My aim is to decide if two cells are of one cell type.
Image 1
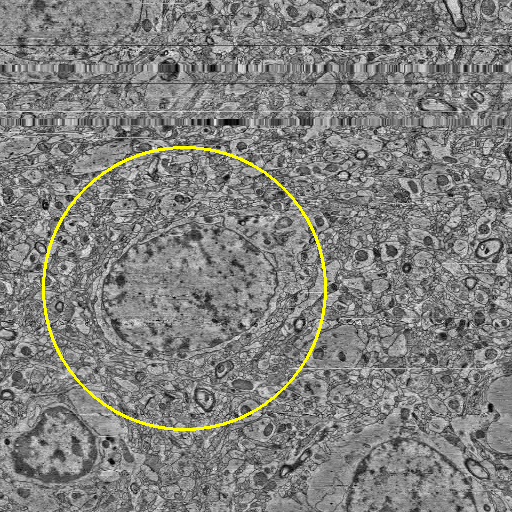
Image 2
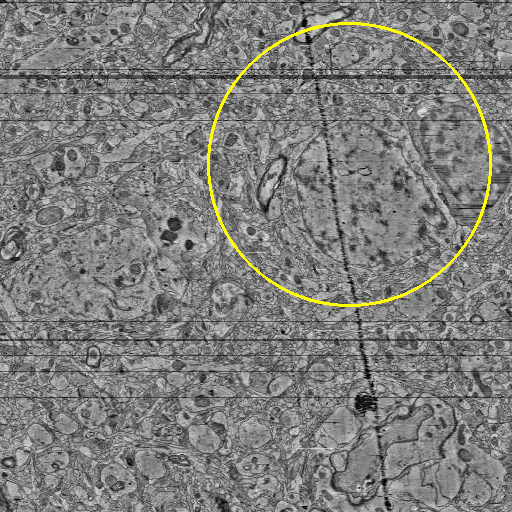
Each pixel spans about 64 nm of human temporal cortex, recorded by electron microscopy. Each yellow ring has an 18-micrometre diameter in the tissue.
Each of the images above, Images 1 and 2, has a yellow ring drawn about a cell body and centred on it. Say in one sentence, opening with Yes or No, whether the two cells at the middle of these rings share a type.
Yes, in Images 1 and 2 the cells at the middle of the rings share one type.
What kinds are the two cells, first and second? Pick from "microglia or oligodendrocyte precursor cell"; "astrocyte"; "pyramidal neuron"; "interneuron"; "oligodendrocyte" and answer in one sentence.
Each cell at the centre of a ring is an interneuron.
